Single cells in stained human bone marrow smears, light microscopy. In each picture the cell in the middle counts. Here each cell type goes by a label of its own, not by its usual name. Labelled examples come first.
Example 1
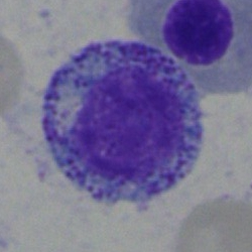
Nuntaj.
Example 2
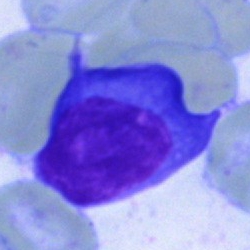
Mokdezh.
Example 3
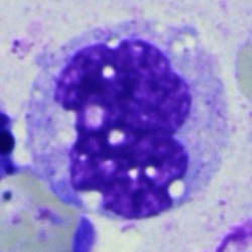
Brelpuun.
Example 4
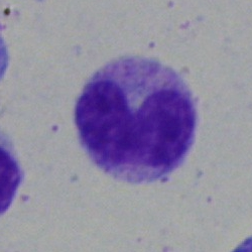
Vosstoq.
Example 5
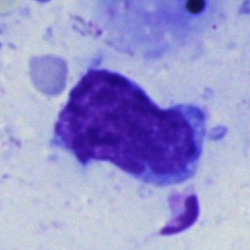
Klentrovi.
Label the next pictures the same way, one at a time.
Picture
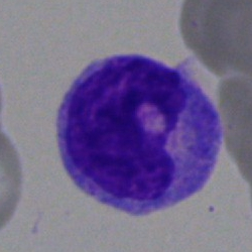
Brelpuun.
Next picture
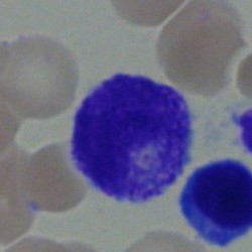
Nuntaj.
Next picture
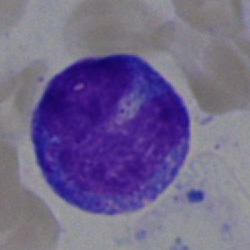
Brelpuun.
